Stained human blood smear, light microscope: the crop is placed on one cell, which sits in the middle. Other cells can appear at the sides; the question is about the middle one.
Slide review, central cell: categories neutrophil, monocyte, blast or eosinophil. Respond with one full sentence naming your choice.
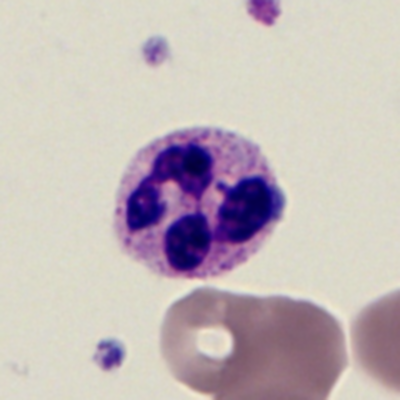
The cell of interest, located centrally, is a neutrophil.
